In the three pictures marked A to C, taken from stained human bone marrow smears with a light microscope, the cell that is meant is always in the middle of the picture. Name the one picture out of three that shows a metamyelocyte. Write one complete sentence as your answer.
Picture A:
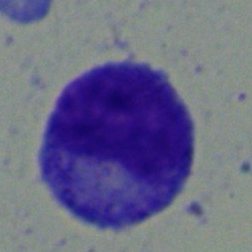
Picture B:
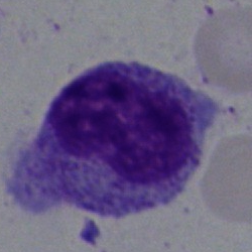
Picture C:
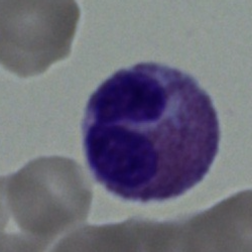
It is picture B that shows the metamyelocyte.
